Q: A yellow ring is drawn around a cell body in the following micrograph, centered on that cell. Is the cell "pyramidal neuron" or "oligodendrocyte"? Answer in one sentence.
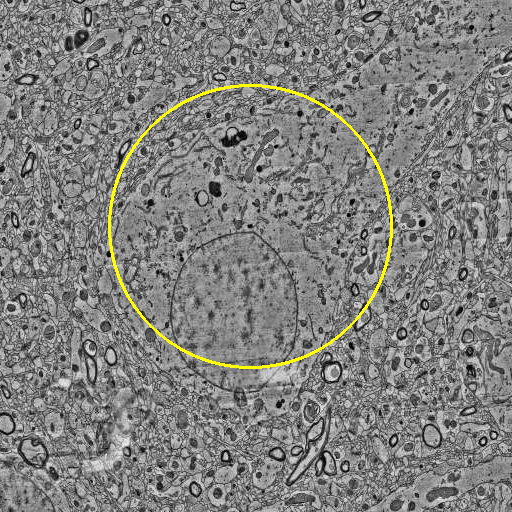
The cell in the center of the ring is a pyramidal neuron.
